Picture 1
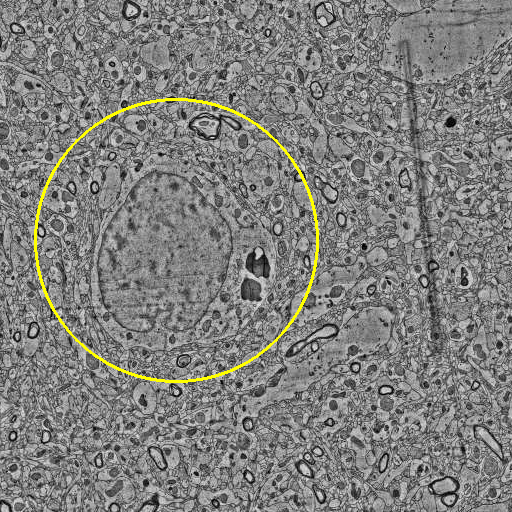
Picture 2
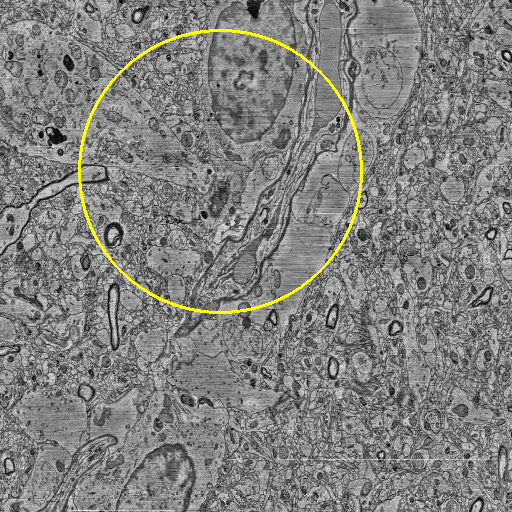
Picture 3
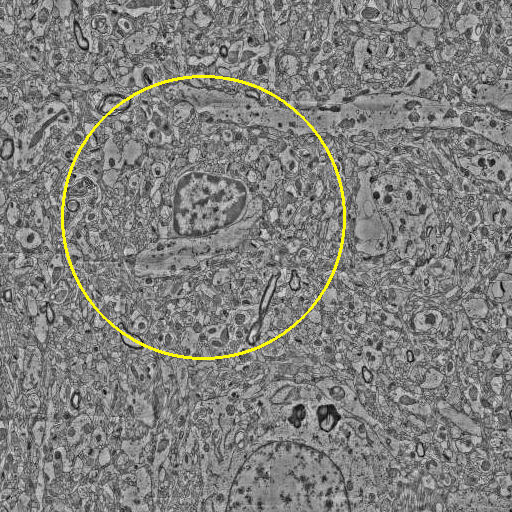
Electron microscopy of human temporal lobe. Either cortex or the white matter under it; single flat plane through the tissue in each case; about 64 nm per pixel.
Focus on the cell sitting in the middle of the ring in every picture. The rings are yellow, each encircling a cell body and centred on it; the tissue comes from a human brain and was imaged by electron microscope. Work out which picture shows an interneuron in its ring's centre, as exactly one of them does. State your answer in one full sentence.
In picture 1, the ring is centred on the cell in question.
